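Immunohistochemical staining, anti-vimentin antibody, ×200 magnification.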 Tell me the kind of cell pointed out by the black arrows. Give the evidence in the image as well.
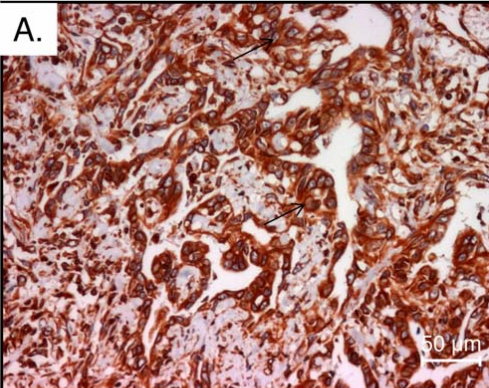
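Arrows point to clusters of polygonal cells with large nuclei and brown cytoplasm. The cells line irregular spaces and form tubular and papillary-like groups. So: tumour cells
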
